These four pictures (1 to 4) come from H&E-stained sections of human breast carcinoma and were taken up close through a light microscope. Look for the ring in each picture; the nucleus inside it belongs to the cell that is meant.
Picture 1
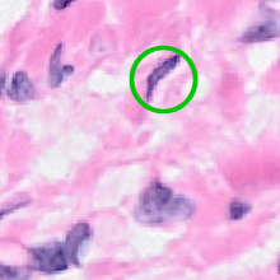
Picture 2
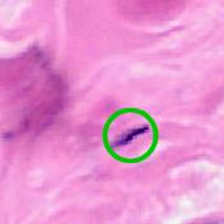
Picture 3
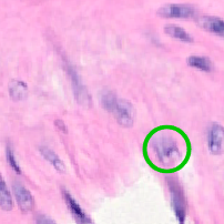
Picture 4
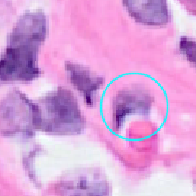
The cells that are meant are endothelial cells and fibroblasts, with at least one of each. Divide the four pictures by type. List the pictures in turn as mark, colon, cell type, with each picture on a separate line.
1: fibroblast
2: fibroblast
3: endothelial cell
4: endothelial cell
